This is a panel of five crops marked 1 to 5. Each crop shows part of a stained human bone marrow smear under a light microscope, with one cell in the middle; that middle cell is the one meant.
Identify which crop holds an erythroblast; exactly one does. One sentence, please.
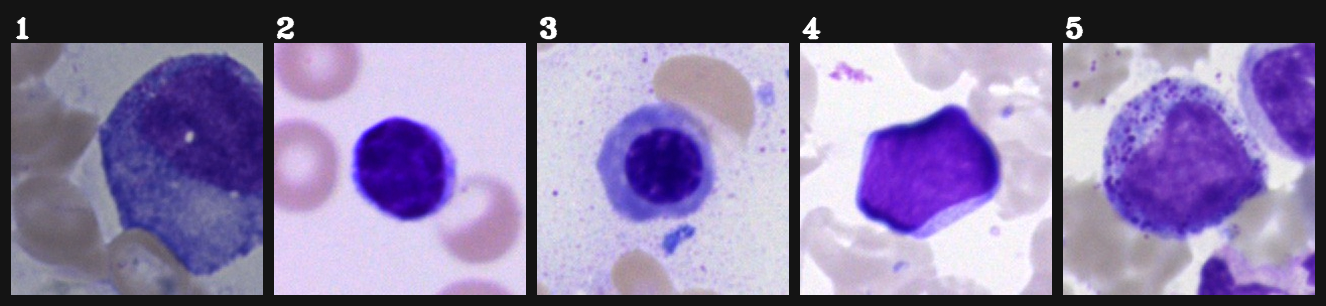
Of the labelled crops, the one that shows an erythroblast is crop 3.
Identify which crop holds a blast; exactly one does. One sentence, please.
Of the cells presented, the one in crop 4 is a blast.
